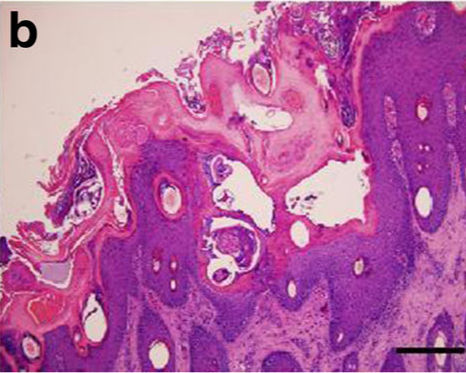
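This section of skin shows a greatly thickened, deeply purple epidermis that sends broad, irregular downgrowths into the dermis, which is acanthosis. On the surface lies a thick, layered pink mass with cavities and trapped cellular debris, forming crusts over the epidermis. Some rounded hollow profiles sit within and just beneath the surface crust. The dermis below appears as paler pink tissue between the epidermal downgrowths.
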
